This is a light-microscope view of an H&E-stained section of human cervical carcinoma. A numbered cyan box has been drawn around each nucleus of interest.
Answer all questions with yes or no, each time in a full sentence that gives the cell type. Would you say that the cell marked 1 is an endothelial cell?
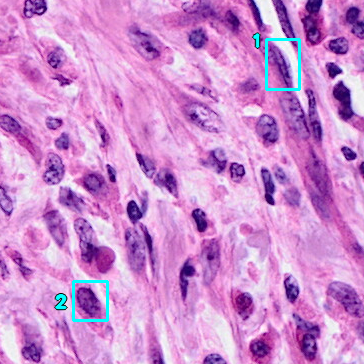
Yes, correct, the cell with the number 1 is an endothelial cell.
